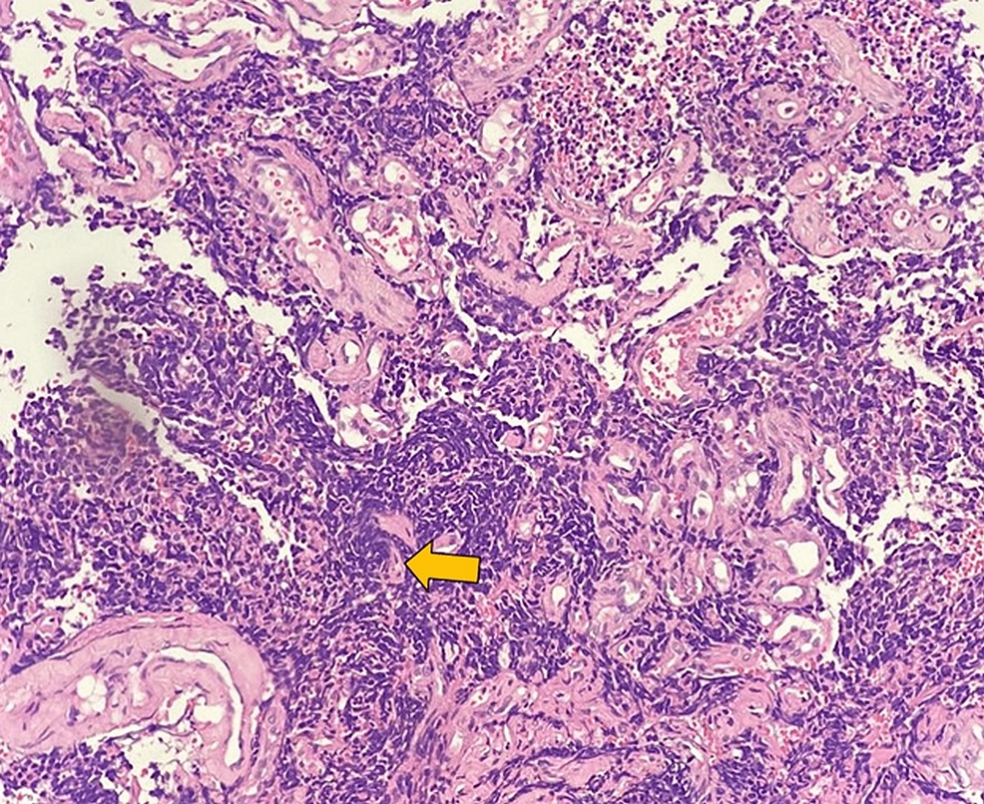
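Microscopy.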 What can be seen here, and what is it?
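This tissue is made up of sheets of small round blue cells that are densely packed, with round dark purple nuclei and very scant pale cytoplasm. Between the sheets lie many vessels with thick, glassy pink walls, and some of them contain red blood cells. At one spot, the tumour cells are arranged in a ring around a small pink central core.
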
